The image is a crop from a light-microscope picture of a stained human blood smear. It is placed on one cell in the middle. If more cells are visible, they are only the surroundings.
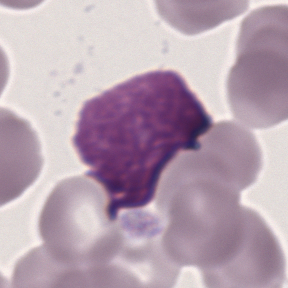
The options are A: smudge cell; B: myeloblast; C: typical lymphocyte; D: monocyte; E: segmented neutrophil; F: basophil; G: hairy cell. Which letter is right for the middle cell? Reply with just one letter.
A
